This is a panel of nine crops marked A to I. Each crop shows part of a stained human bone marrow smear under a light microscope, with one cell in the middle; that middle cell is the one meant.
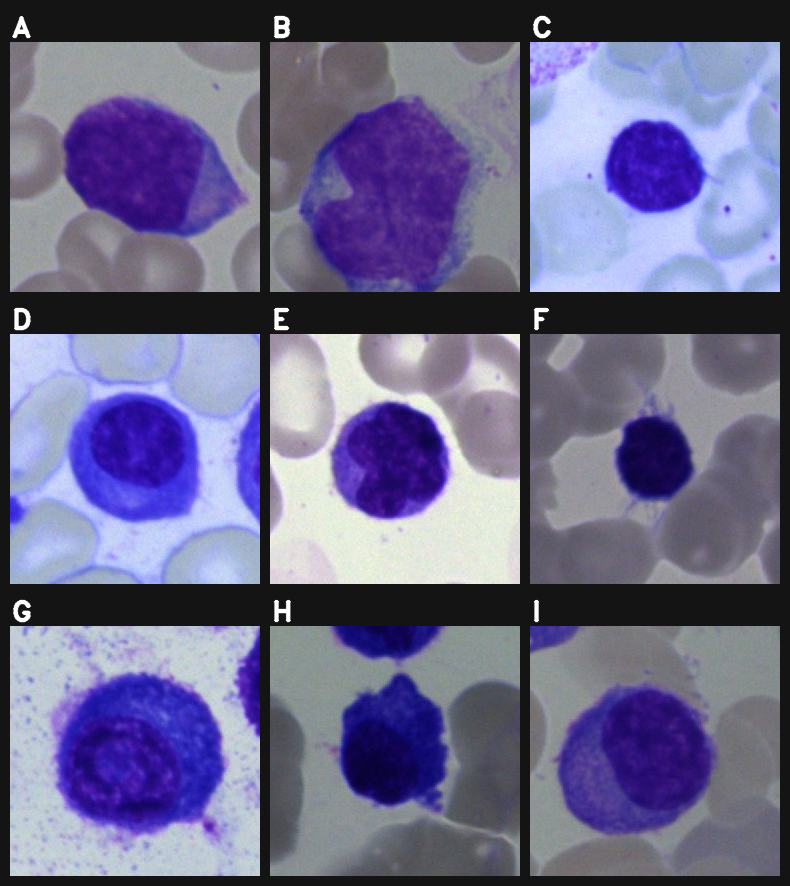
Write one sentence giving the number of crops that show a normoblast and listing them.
No normoblasts turn up in any of the crops, so the count is zero.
